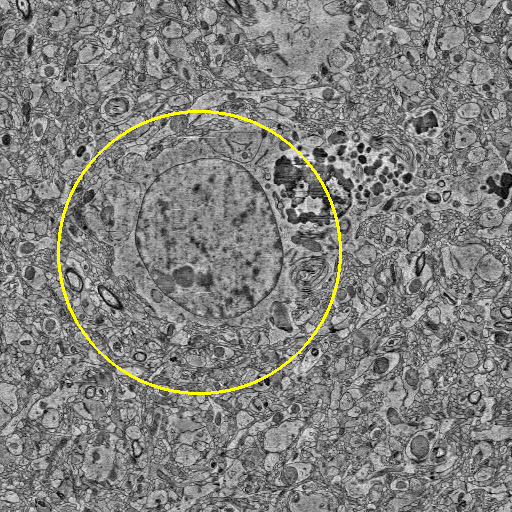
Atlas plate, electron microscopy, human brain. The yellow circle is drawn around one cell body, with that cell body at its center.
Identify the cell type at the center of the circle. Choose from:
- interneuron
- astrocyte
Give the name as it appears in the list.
astrocyte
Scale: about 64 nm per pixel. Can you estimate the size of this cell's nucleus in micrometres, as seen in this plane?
Approximately 10 micrometers across in this plane.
